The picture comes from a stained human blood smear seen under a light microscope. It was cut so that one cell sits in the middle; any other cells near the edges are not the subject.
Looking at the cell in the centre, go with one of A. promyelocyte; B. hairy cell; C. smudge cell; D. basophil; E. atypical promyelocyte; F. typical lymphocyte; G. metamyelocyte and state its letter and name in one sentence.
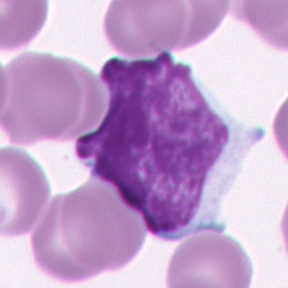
That cell in the center is a typical lymphocyte, hence option F.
